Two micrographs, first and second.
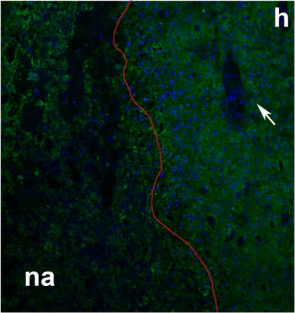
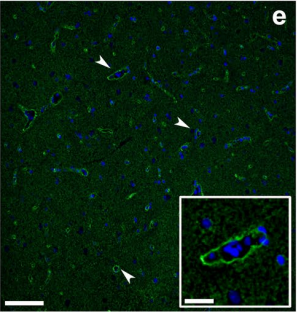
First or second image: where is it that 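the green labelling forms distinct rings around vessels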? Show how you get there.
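First image: green signal is diffuse across the tissue, vessel profiles appear dark without bright rims. Second image: bright green rings outline many small vessels on a darker background.
The second image.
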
